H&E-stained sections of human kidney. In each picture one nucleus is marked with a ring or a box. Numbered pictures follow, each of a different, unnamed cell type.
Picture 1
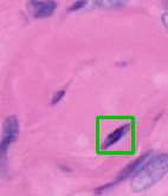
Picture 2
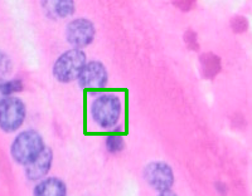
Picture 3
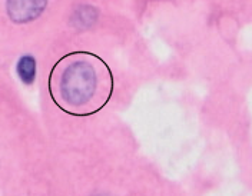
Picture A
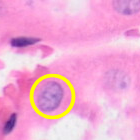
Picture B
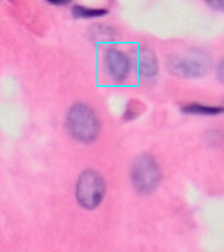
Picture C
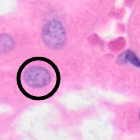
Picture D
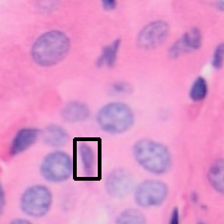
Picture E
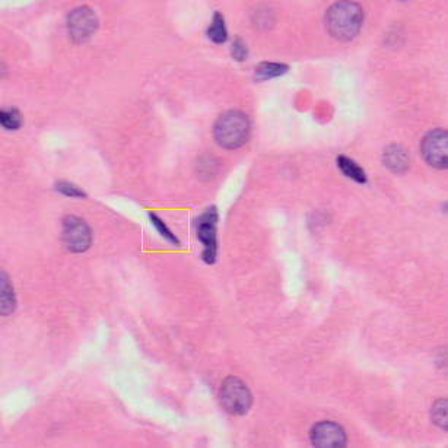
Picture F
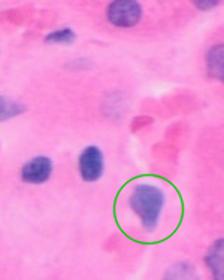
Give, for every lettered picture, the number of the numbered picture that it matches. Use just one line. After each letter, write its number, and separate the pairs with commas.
A 3, B 2, C 3, D 2, E 1, F 1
